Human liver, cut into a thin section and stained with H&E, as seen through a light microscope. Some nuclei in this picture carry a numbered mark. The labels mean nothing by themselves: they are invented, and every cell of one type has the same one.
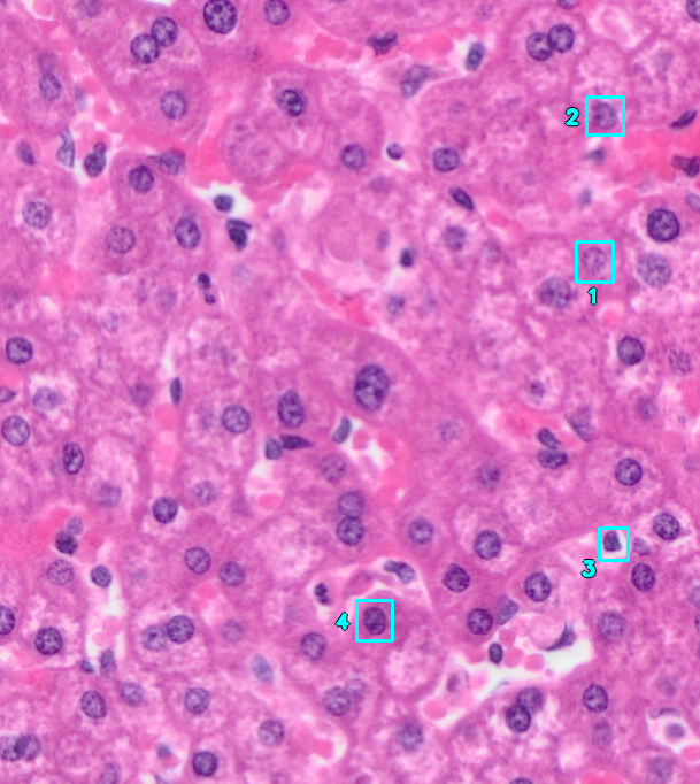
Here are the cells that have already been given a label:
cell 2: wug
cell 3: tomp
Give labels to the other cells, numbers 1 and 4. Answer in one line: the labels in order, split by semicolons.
wug; wug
